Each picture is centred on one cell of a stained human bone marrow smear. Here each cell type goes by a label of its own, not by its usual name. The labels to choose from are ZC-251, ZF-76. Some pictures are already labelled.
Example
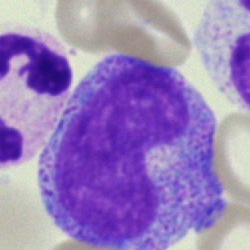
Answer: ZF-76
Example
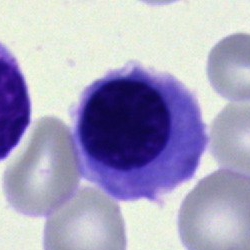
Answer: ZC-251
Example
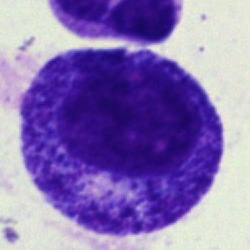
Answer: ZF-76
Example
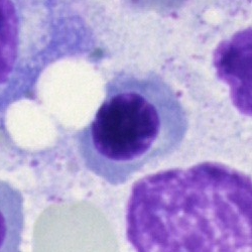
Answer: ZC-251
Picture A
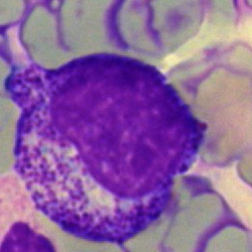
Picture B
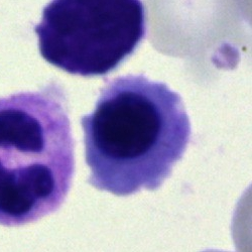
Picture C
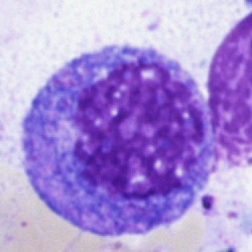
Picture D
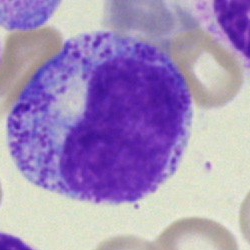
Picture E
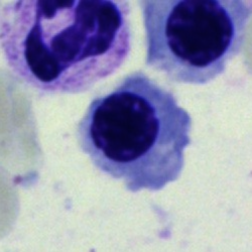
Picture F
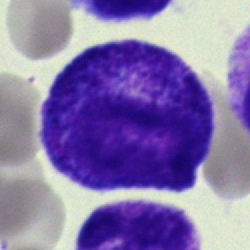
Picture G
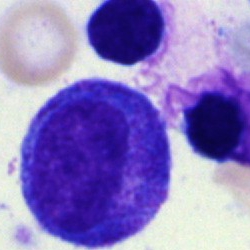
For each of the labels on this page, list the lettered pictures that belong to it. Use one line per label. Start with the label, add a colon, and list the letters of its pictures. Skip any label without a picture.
ZC-251: B, E
ZF-76: A, C, D, F, G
